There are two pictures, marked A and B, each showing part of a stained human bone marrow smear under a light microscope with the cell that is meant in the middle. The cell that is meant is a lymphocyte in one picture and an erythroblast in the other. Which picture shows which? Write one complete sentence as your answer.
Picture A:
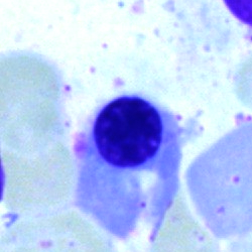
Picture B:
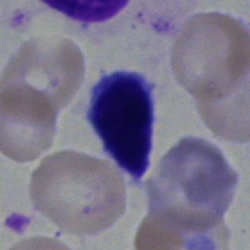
It is picture A that shows an erythroblast, and picture B that shows a lymphocyte.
